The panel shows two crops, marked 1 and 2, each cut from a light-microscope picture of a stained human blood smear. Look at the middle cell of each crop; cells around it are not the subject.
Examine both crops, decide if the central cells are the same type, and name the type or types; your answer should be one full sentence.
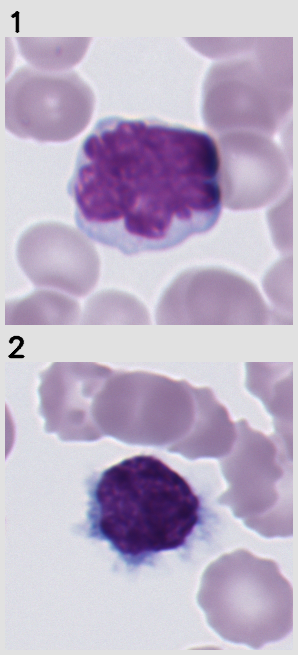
No, crop 1 shows a large granular lymphocyte, whereas a hairy cell is what crop 2 shows.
